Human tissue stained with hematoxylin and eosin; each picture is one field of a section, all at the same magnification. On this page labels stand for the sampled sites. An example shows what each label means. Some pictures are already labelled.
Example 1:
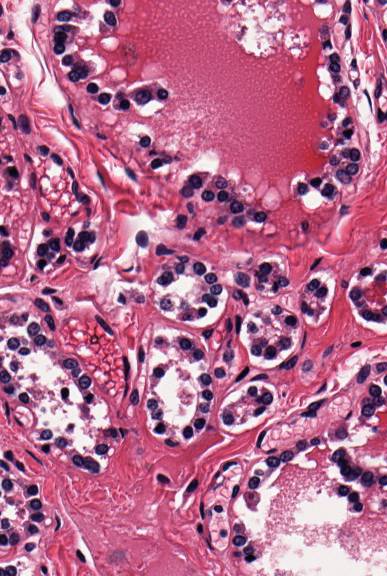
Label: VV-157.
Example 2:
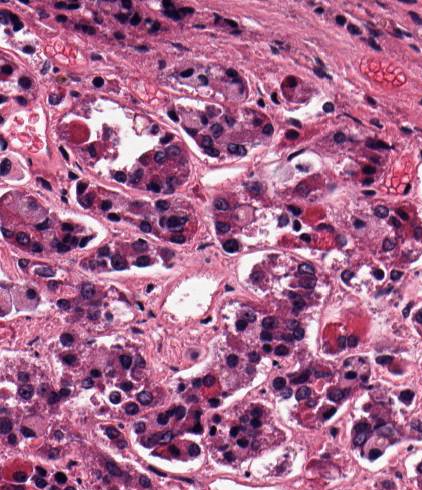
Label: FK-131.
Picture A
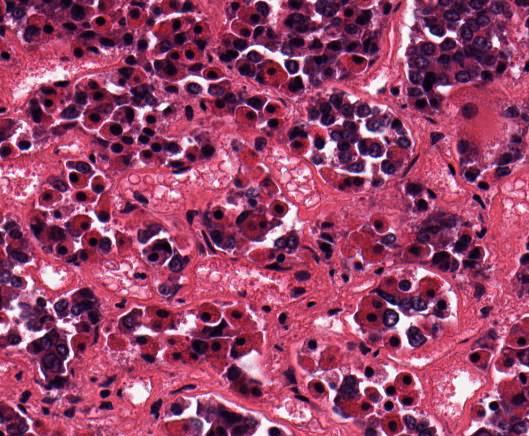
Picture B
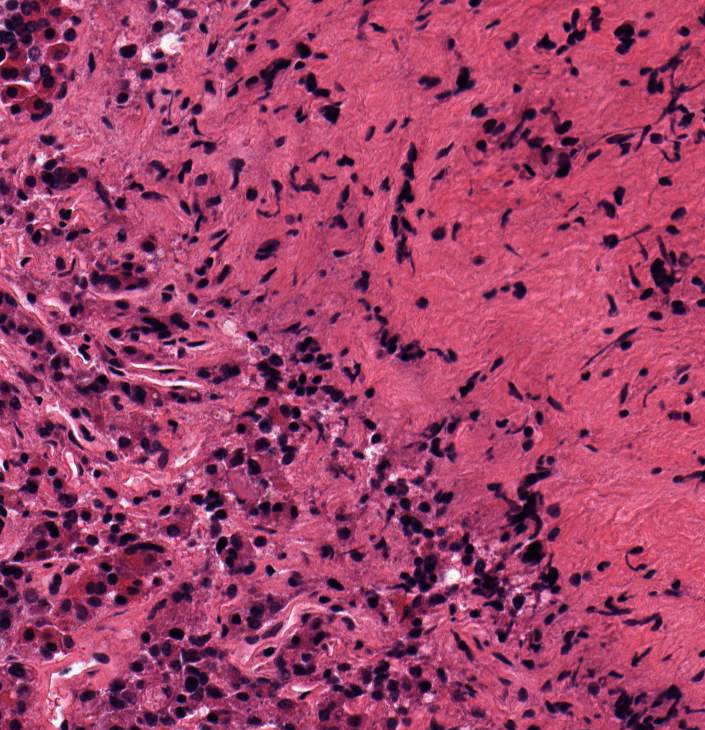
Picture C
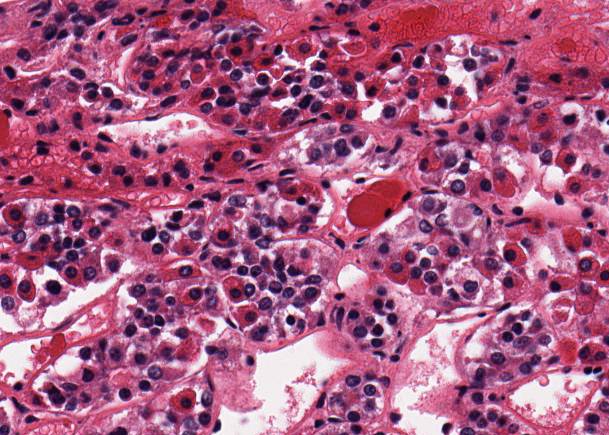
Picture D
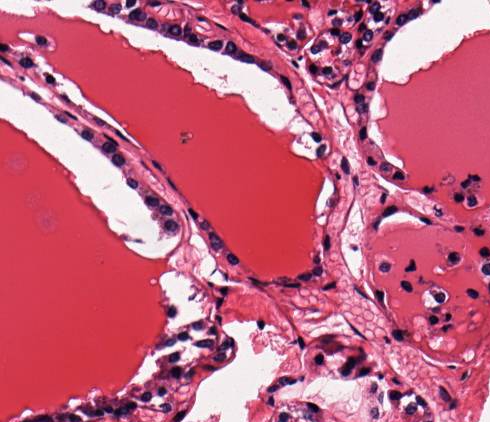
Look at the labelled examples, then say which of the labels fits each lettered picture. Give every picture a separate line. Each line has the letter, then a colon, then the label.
A: FK-131.
B: FK-131.
C: FK-131.
D: VV-157.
